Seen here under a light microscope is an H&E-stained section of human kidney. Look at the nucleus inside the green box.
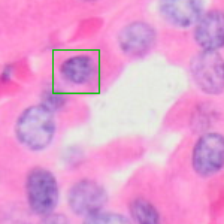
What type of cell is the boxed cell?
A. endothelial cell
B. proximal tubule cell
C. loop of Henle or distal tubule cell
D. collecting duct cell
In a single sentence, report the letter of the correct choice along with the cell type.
Option D is right, and the boxed cell is a collecting duct cell.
